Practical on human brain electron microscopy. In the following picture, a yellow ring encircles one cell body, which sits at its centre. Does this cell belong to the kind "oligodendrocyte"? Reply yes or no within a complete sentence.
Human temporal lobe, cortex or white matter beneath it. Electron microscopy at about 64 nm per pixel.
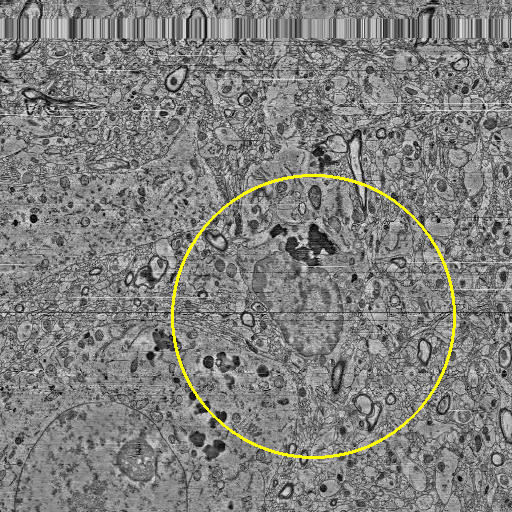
Yes, the one cell at the centre of the ring here is of that kind.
